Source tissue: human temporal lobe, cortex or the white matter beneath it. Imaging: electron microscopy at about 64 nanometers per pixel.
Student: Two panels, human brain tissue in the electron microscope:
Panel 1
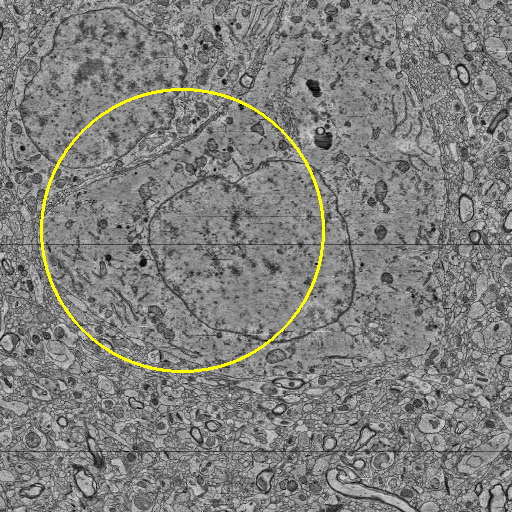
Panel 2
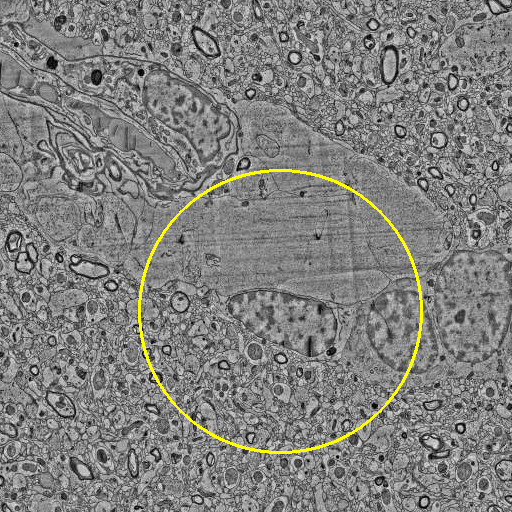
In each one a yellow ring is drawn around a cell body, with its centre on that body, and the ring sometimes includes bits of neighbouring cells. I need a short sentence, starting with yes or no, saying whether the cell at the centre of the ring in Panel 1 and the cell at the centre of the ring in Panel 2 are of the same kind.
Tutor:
No, they are two kinds of cell.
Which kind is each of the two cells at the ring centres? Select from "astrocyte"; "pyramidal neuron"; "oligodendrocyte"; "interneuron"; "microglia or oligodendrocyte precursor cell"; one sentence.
The cell at the centre of the ring is a pyramidal neuron in the first picture and a microglial cell or oligodendrocyte precursor cell in the second.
